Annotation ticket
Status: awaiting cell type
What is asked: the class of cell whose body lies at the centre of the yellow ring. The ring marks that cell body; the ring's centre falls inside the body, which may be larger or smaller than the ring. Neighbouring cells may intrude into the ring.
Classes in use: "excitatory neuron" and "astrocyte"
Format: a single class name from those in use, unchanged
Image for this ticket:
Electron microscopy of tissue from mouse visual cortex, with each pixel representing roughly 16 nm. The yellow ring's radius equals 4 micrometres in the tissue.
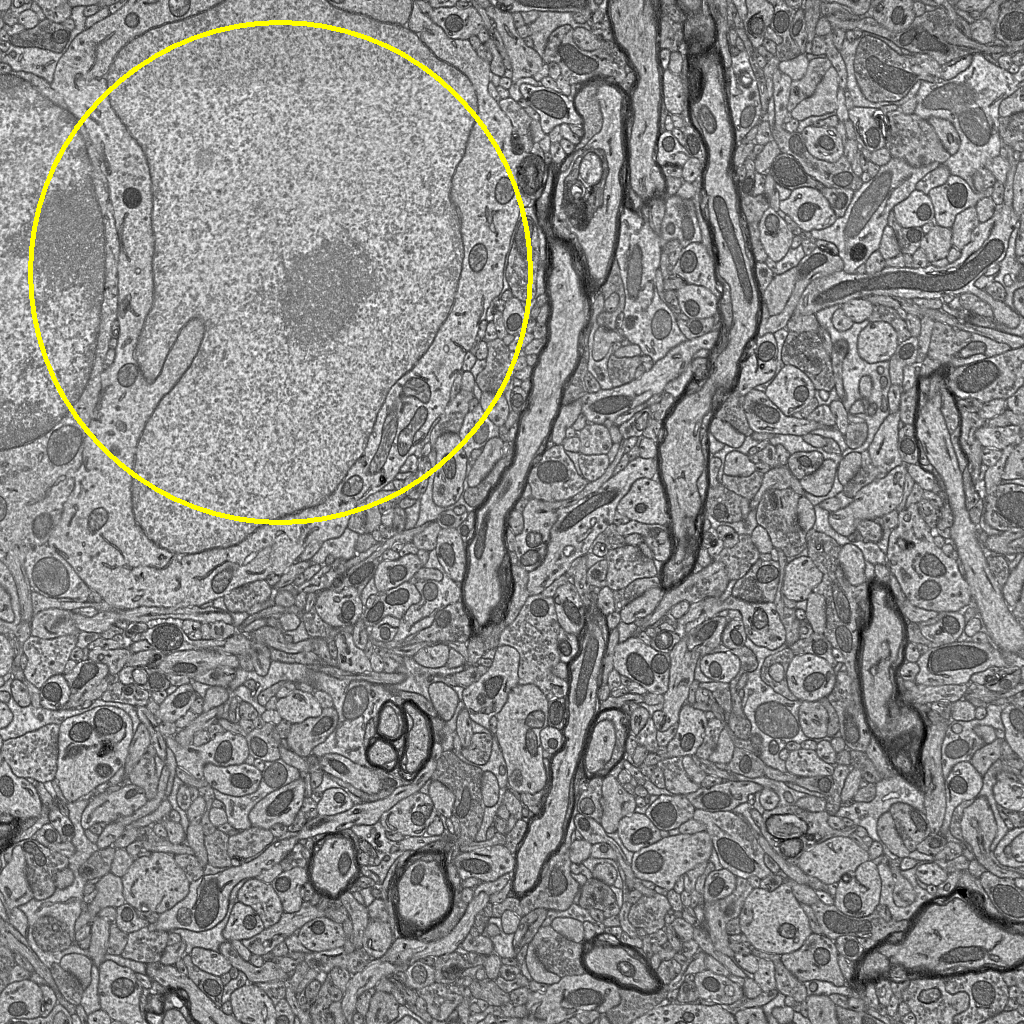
excitatory neuron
